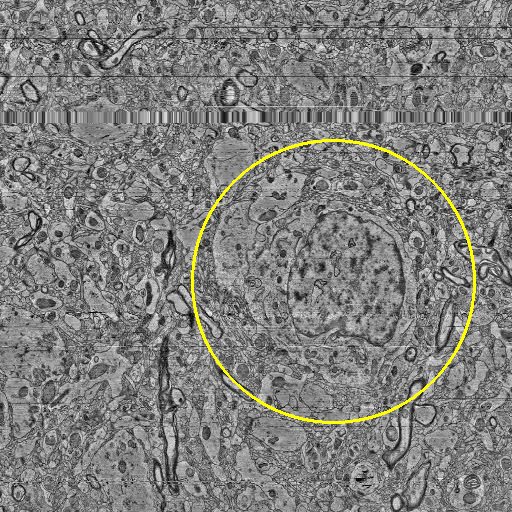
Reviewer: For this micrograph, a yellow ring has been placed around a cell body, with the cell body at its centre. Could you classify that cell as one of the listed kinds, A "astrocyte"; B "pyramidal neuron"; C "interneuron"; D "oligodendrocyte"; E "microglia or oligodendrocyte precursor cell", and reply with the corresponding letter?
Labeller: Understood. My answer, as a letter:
C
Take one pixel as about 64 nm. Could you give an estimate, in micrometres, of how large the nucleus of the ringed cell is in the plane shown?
The nucleus of the ringed cell is approximately 9 by 8 micrometres in this plane.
